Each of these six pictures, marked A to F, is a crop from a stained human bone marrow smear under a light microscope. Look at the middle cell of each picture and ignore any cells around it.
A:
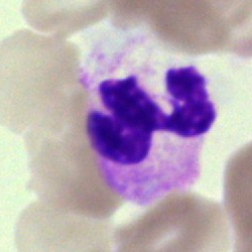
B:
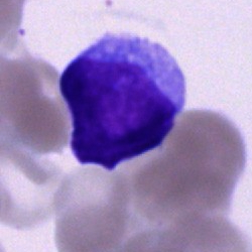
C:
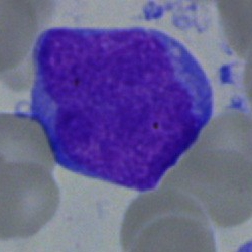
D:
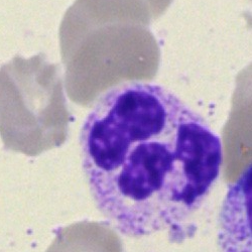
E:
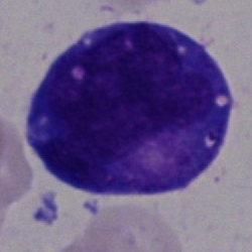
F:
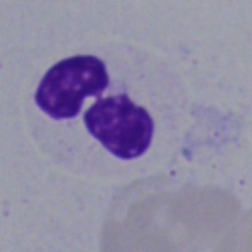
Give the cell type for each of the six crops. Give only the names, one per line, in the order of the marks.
neutrophil
blast
blast
neutrophil
blast
neutrophil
